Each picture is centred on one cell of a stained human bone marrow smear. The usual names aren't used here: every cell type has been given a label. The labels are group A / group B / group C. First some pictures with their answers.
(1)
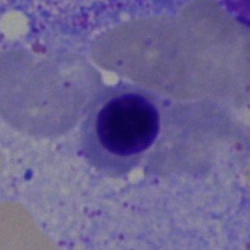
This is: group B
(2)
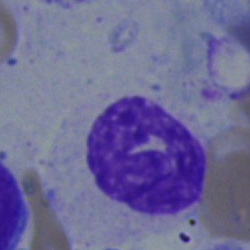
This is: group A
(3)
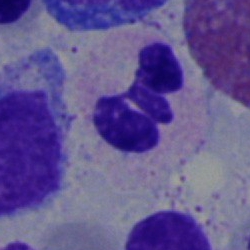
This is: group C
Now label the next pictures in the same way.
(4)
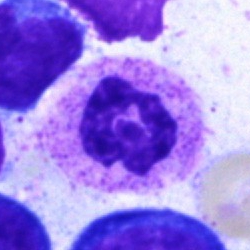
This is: group C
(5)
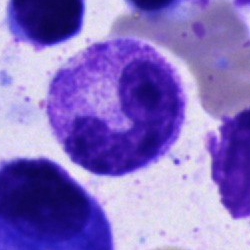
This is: group A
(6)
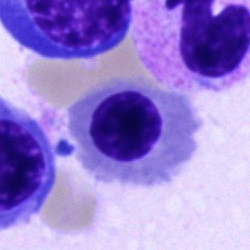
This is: group B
